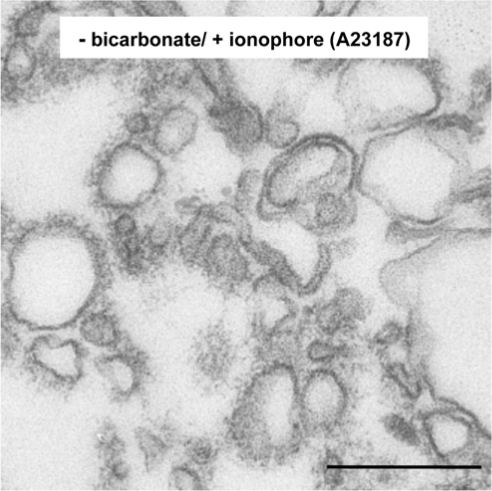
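This electron micrograph shows a crowded field of small membrane vesicles of very different sizes and shapes, some round, others elongated, folded or collapsed. Each profile is bounded by a single thin membrane. Many have a pale interior, while some appear filled with grey granular material. Fuzzy granular material lies scattered between and on the vesicles. These are unilamellar membrane vesicle structures with a wide variation in size and shape.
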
